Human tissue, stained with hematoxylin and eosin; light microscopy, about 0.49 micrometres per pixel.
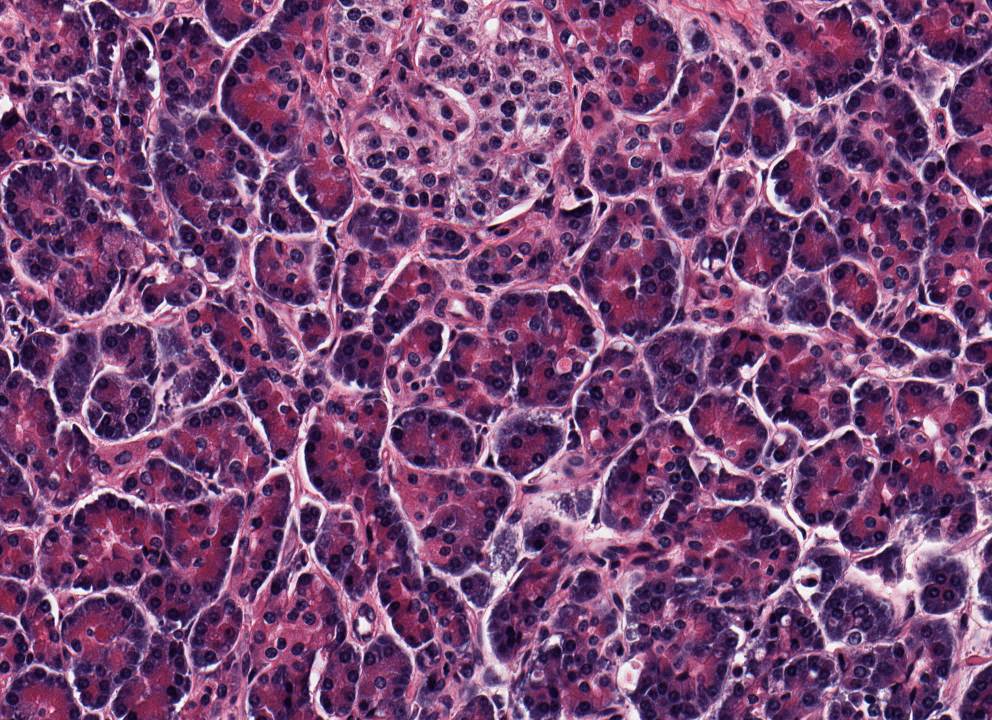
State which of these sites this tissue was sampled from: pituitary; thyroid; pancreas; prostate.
pancreas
